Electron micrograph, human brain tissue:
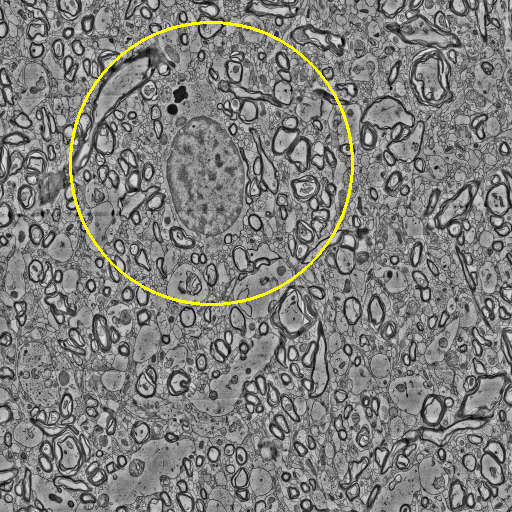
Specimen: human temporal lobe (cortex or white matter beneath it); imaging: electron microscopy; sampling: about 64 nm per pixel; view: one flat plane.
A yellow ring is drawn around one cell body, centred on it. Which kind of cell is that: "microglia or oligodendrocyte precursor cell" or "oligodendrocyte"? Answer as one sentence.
It is an oligodendrocyte at the centre of the ring.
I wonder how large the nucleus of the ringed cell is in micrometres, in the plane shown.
In this plane, approximately 8 by 5 micrometers.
